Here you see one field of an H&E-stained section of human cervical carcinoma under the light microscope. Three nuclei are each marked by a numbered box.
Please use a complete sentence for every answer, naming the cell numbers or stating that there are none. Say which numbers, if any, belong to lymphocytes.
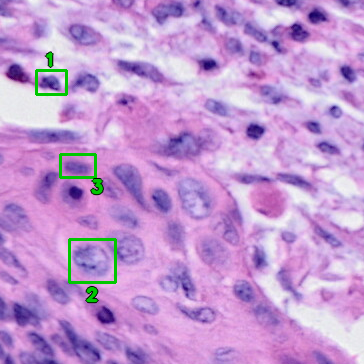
Only the cell numbered 1 is a lymphocyte, and the others are something else.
